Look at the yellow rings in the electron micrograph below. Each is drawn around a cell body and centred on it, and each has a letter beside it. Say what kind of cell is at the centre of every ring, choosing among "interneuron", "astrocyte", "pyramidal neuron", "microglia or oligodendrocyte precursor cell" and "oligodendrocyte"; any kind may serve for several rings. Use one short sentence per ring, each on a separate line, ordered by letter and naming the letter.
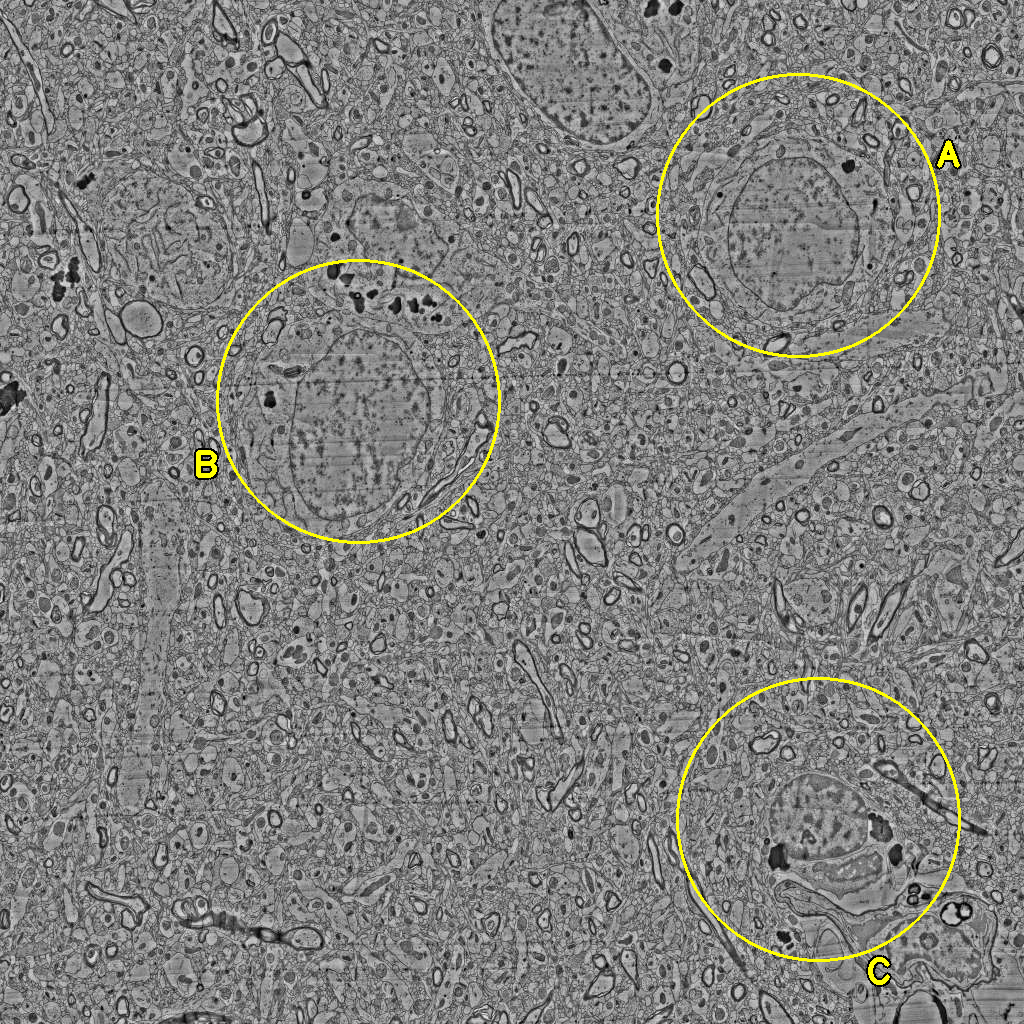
Ring A encircles a pyramidal neuron.
Ring B encircles a pyramidal neuron.
Ring C encircles an oligodendrocyte.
